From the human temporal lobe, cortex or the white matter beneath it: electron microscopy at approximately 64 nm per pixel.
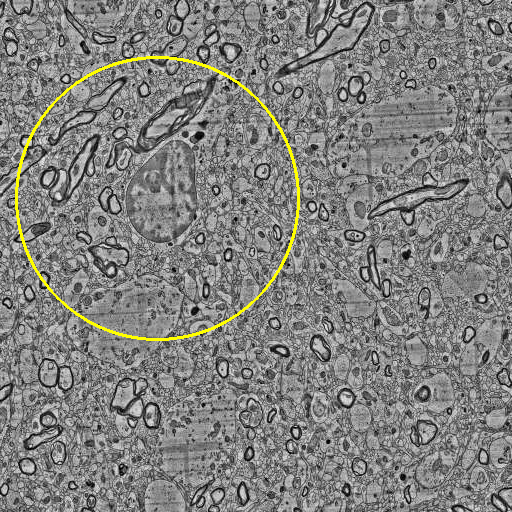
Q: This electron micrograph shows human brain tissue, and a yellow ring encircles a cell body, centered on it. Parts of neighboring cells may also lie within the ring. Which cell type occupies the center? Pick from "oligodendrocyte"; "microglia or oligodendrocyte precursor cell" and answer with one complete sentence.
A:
What sits at the ring's center in this micrograph is a microglial cell or oligodendrocyte precursor cell, among those choices.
